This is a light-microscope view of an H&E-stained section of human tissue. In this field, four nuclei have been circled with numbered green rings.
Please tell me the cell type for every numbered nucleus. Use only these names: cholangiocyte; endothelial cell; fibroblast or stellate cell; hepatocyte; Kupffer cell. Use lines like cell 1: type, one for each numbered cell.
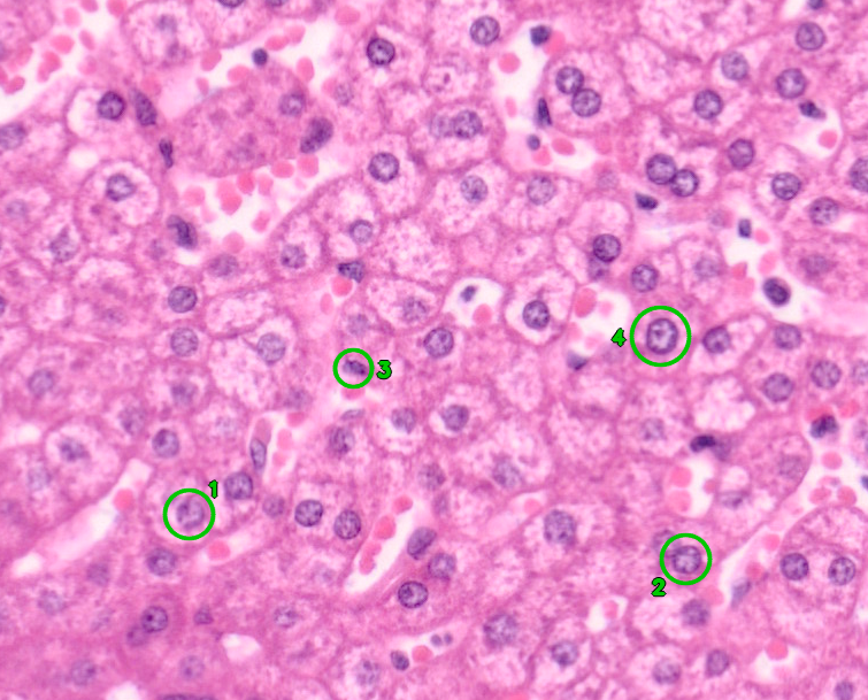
cell 1: hepatocyte
cell 2: hepatocyte
cell 3: fibroblast or stellate cell
cell 4: hepatocyte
